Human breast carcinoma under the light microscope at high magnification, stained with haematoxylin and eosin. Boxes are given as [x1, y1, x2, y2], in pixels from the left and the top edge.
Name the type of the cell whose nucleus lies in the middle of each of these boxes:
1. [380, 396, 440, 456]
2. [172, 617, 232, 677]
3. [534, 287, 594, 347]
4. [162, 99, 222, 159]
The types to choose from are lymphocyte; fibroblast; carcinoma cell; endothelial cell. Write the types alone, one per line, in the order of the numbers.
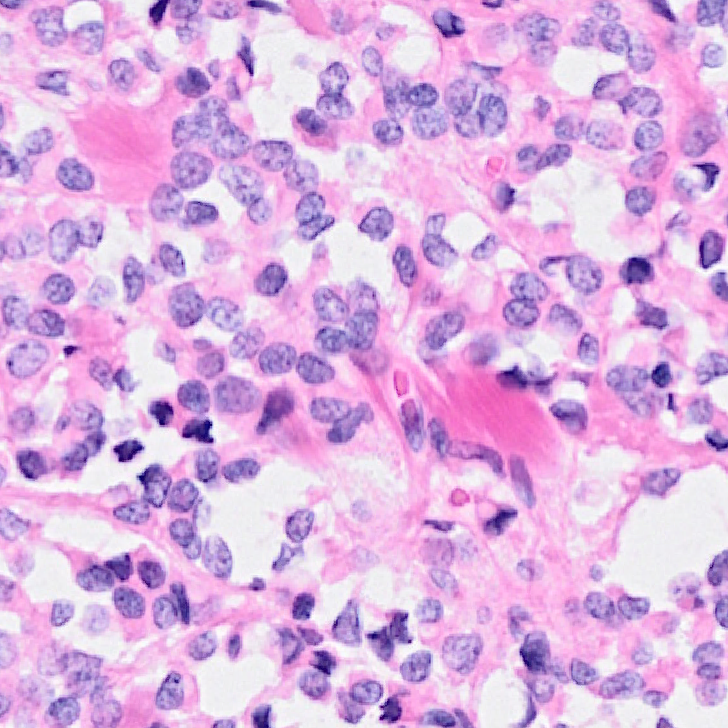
endothelial cell
carcinoma cell
carcinoma cell
carcinoma cell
